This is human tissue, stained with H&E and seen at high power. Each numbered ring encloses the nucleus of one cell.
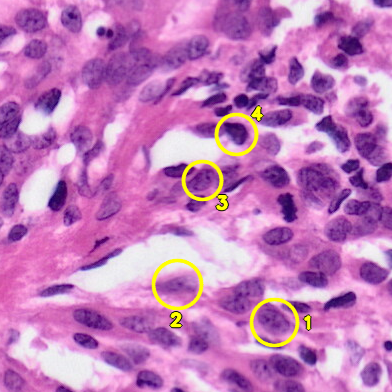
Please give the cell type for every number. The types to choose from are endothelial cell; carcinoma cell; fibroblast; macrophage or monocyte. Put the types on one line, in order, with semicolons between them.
carcinoma cell; fibroblast; carcinoma cell; carcinoma cell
